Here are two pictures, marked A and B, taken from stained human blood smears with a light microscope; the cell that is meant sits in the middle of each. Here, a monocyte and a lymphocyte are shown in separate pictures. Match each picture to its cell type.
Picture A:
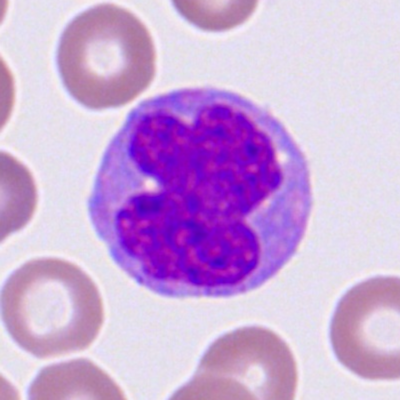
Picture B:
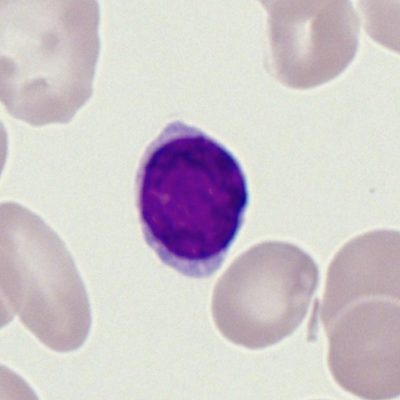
A: monocyte
B: lymphocyte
